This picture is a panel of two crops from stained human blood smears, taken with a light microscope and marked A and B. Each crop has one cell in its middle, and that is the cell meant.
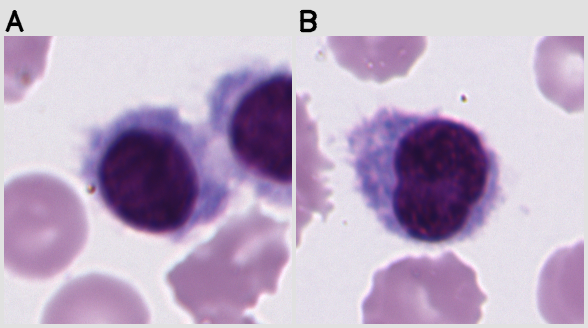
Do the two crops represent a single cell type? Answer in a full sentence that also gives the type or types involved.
Yes, hairy cells are centred in both crops.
